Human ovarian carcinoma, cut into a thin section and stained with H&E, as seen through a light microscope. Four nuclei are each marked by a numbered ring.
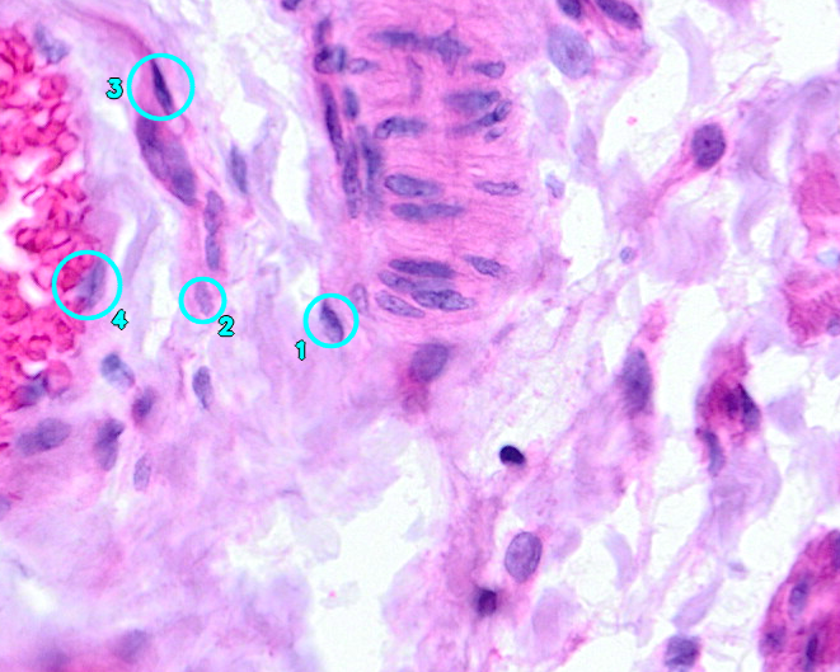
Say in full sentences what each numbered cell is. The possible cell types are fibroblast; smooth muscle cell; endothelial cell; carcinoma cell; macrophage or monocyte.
Cell 1 is a fibroblast. Cells 2 and 3 are smooth muscle cells. Cell 4 is an endothelial cell.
